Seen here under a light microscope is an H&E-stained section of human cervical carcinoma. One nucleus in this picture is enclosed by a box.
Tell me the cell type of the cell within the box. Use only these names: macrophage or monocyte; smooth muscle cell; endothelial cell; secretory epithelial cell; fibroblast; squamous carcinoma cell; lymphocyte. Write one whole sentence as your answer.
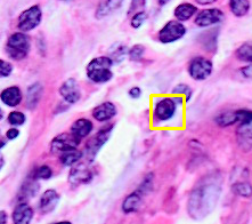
This is a lymphocyte.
